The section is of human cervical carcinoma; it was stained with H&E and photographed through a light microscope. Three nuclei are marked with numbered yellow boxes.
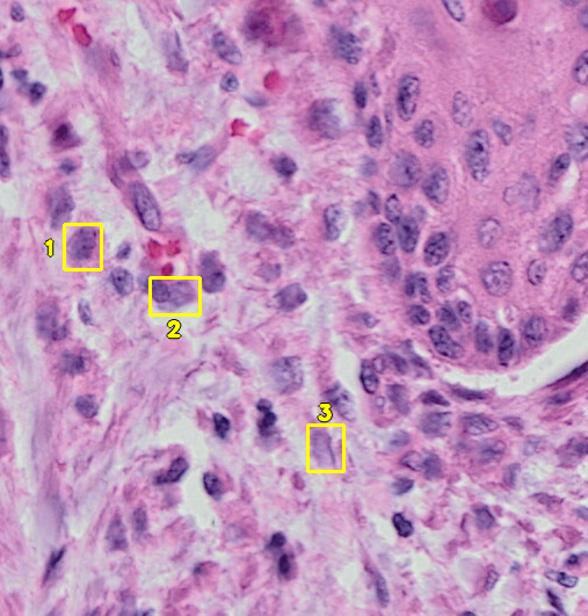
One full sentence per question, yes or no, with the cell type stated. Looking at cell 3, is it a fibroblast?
Yes, the cell shown as number 3 is a fibroblast.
